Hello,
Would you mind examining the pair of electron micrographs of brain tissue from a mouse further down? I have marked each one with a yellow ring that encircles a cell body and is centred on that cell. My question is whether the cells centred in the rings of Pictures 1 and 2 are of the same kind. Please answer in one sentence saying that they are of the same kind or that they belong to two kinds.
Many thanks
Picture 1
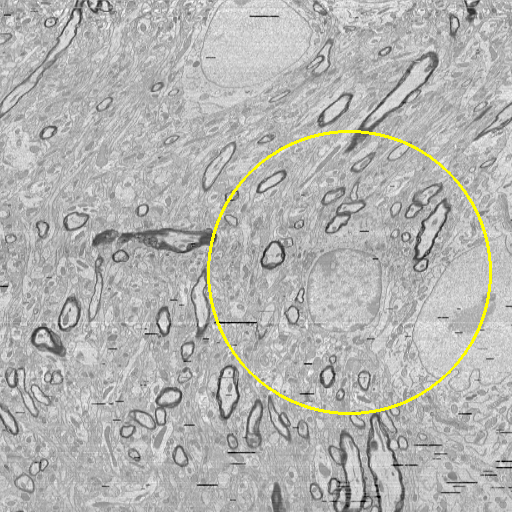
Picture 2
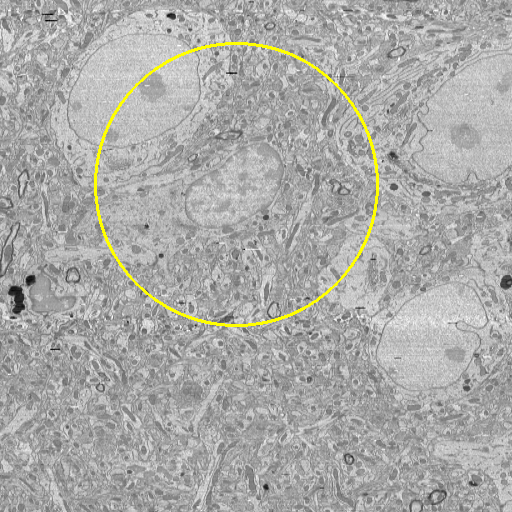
In Pictures 1 and 2, the cells at the heart of the rings are of the same kind.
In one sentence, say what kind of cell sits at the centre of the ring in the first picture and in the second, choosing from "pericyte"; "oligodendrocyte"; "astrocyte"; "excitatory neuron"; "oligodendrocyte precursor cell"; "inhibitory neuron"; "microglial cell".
In both pictures the ring is centred on an oligodendrocyte.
